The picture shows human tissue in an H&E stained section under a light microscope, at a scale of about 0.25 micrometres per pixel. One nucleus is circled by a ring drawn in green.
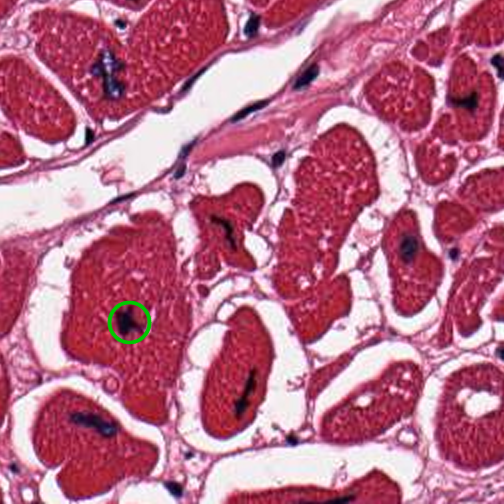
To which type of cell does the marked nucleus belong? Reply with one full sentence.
Singled out by the mark is the nucleus of a cardiomyocyte.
